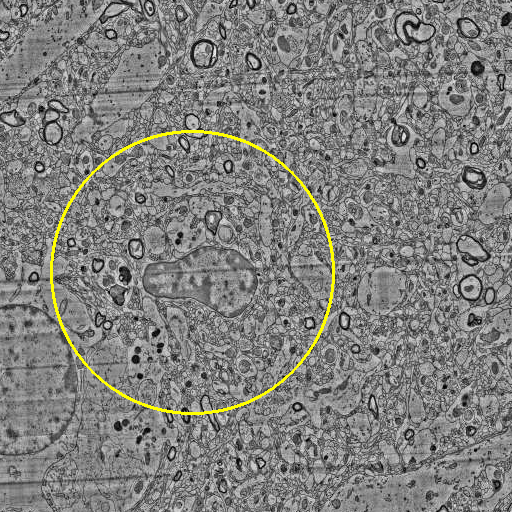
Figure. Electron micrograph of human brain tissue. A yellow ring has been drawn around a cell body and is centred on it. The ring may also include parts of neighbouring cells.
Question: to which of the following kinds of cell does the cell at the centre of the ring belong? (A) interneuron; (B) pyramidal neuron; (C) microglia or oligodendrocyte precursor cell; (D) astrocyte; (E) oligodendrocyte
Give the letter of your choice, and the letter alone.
C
